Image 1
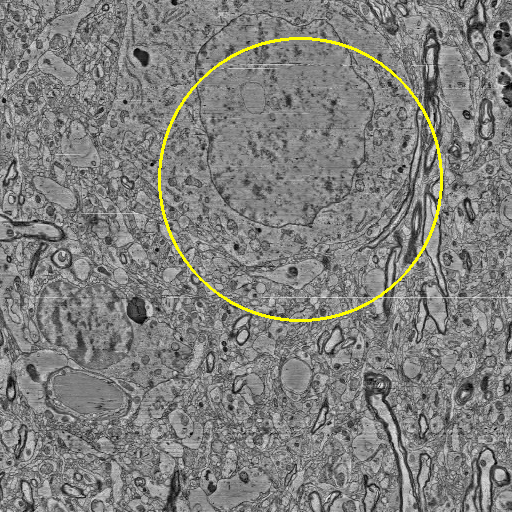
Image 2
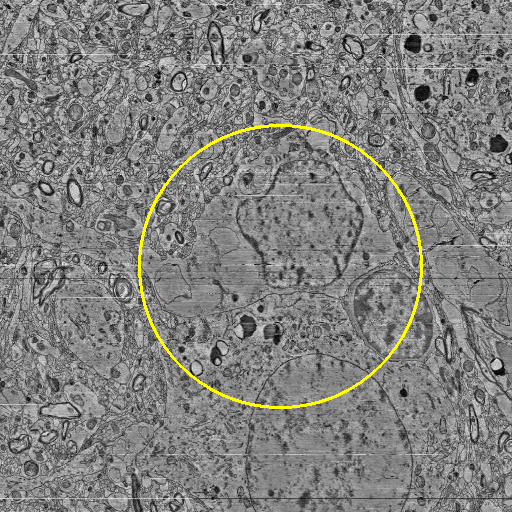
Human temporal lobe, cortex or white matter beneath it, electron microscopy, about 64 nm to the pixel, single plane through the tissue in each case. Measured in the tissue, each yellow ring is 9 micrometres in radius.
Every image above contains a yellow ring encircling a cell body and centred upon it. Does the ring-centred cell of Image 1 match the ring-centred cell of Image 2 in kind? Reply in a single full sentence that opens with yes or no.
No, the cell at the ring's centre in Image 1 is a separate kind from that in Image 2.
